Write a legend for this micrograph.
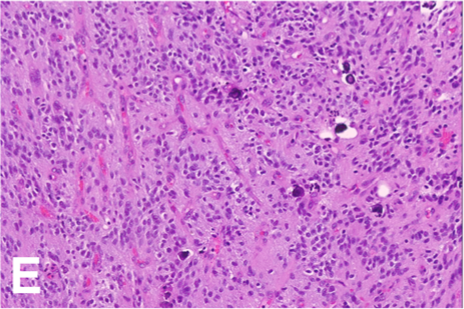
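Cellular glial tumor tissue made of crowded tumor cells with oval to elongated purple nuclei in a pink fibrillary background. Numerous thin, branching capillaries with pink walls run through the tumor as a delicate network. Scattered among the cells are several small, round, dark purple to black bodies, some lying in clear spaces, which are microcalcifications. The tumor cells form sheets between the capillaries and show mild variation in nuclear size and shape.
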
